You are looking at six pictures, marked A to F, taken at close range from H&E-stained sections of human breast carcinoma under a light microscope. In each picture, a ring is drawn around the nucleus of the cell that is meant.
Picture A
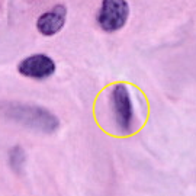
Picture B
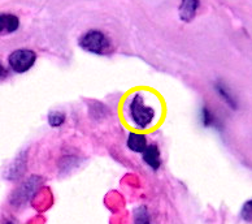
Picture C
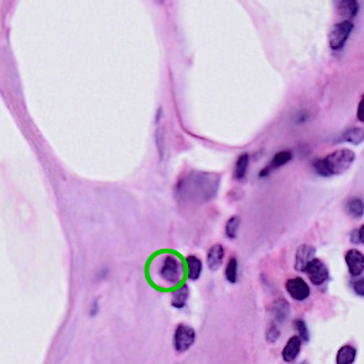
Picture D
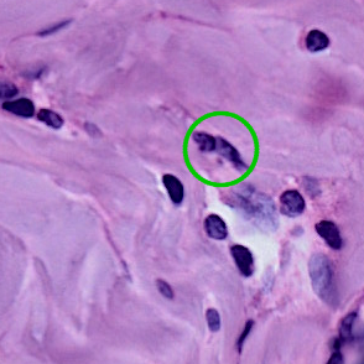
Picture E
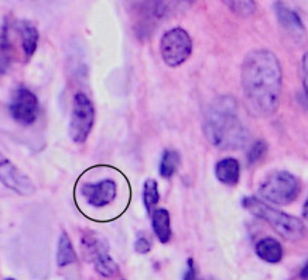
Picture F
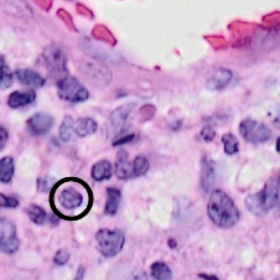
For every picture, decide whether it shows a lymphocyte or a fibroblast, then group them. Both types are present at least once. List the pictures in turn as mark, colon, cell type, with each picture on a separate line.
A: fibroblast
B: lymphocyte
C: lymphocyte
D: fibroblast
E: lymphocyte
F: lymphocyte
